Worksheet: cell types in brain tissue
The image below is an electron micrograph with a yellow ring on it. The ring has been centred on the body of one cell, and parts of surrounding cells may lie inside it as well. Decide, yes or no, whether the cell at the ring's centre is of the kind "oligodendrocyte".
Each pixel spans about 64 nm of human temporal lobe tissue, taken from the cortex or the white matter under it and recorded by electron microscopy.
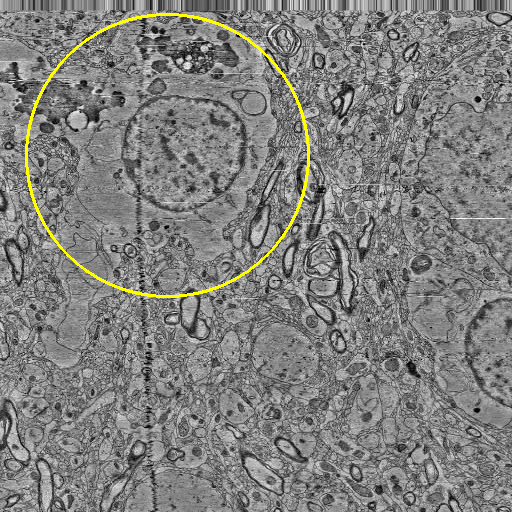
no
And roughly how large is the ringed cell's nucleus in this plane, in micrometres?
About 8 micrometres across in this plane.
